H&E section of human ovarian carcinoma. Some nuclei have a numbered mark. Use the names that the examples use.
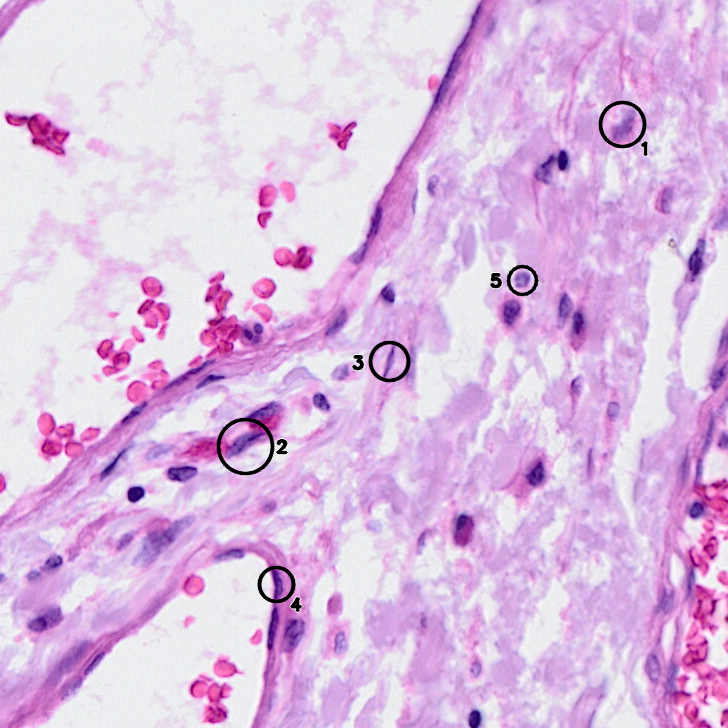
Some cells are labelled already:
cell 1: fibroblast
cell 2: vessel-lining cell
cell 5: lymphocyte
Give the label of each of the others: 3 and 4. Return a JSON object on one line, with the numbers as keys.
{"3": "fibroblast", "4": "vessel-lining cell"}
